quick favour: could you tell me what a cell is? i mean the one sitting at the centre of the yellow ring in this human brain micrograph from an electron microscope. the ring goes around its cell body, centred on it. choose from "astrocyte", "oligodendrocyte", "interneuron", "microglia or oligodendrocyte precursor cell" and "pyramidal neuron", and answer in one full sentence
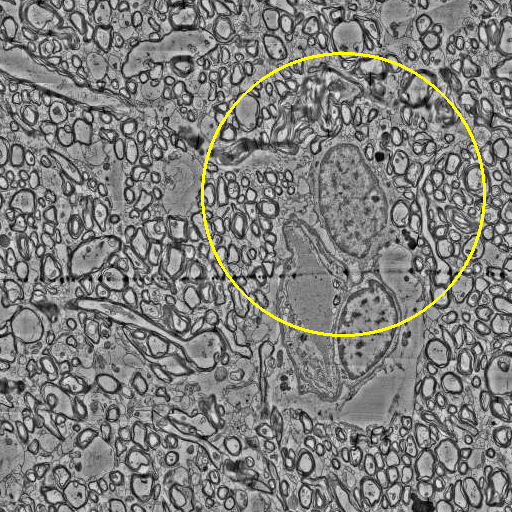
That's an oligodendrocyte, the cell sitting at the centre of the yellow ring.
